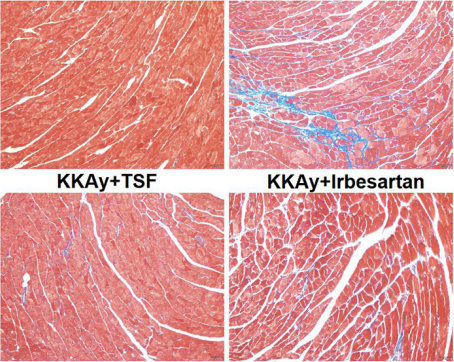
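Four sections of muscle tissue show long, parallel, red-stained muscle fibres separated by thin white clefts, with fibres running in sweeping bands. In one image a broad streak of blue, wavy fibrous material runs between and around the red fibres, while the others show only fine wisps of blue or almost none.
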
